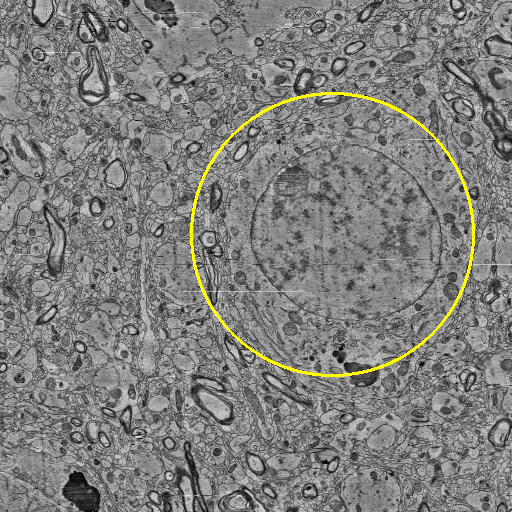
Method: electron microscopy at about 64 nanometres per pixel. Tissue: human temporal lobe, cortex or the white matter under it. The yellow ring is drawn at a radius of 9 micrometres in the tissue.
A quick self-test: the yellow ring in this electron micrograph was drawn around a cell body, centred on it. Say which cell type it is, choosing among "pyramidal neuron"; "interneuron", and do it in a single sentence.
The yellow-ringed cell is an interneuron.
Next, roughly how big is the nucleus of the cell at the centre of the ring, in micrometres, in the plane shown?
In this plane the nucleus measures roughly 12 micrometres across.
